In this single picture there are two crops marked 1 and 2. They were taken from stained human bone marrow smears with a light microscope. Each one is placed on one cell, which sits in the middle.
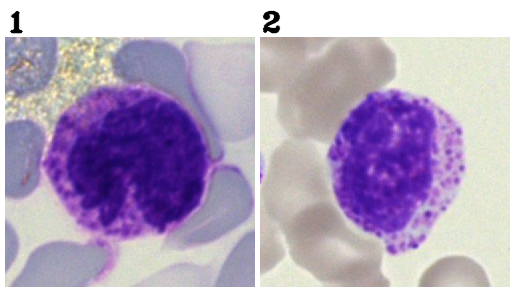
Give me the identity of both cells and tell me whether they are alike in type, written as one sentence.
Yes, basophils lie at the centre of both crops.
